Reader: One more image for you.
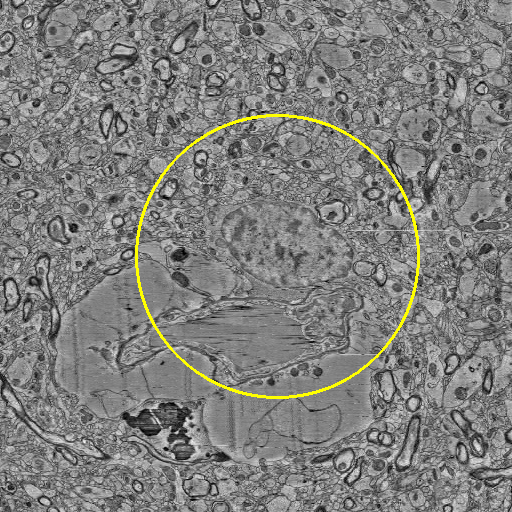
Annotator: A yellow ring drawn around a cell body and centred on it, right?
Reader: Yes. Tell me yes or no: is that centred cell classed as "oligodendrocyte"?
yes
